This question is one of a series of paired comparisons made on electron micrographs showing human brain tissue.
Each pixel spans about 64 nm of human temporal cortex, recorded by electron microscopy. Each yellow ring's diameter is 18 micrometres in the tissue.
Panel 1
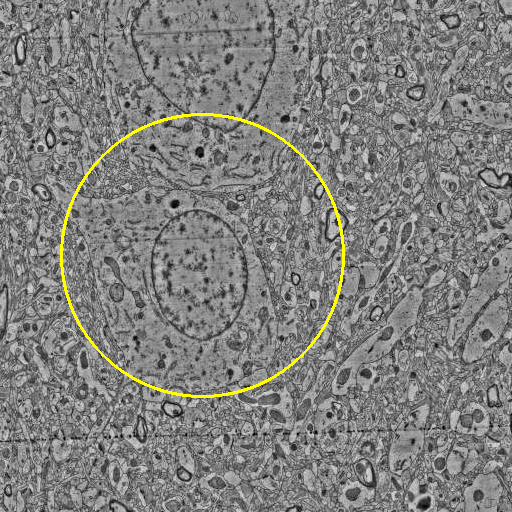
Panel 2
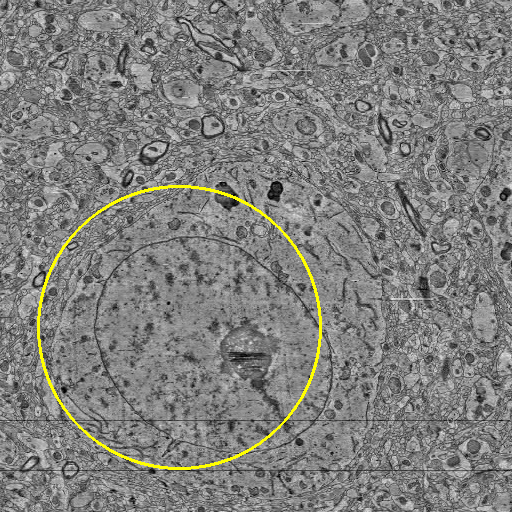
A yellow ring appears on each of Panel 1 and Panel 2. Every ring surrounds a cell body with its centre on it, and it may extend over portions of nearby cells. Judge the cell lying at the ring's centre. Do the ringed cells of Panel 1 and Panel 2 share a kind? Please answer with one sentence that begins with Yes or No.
Yes, the ring-centre cell in Panel 1 and the one in Panel 2 are of one kind.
